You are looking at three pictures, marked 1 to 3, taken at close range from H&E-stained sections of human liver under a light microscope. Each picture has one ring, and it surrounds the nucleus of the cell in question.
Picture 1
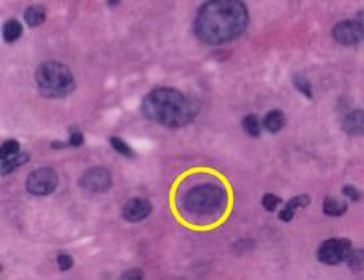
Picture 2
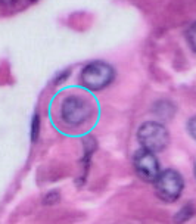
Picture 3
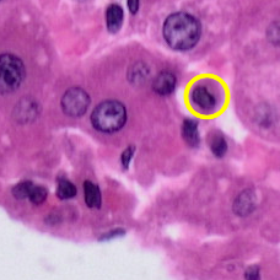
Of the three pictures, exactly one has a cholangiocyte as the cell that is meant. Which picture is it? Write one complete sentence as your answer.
The cholangiocyte is the one in picture 2.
